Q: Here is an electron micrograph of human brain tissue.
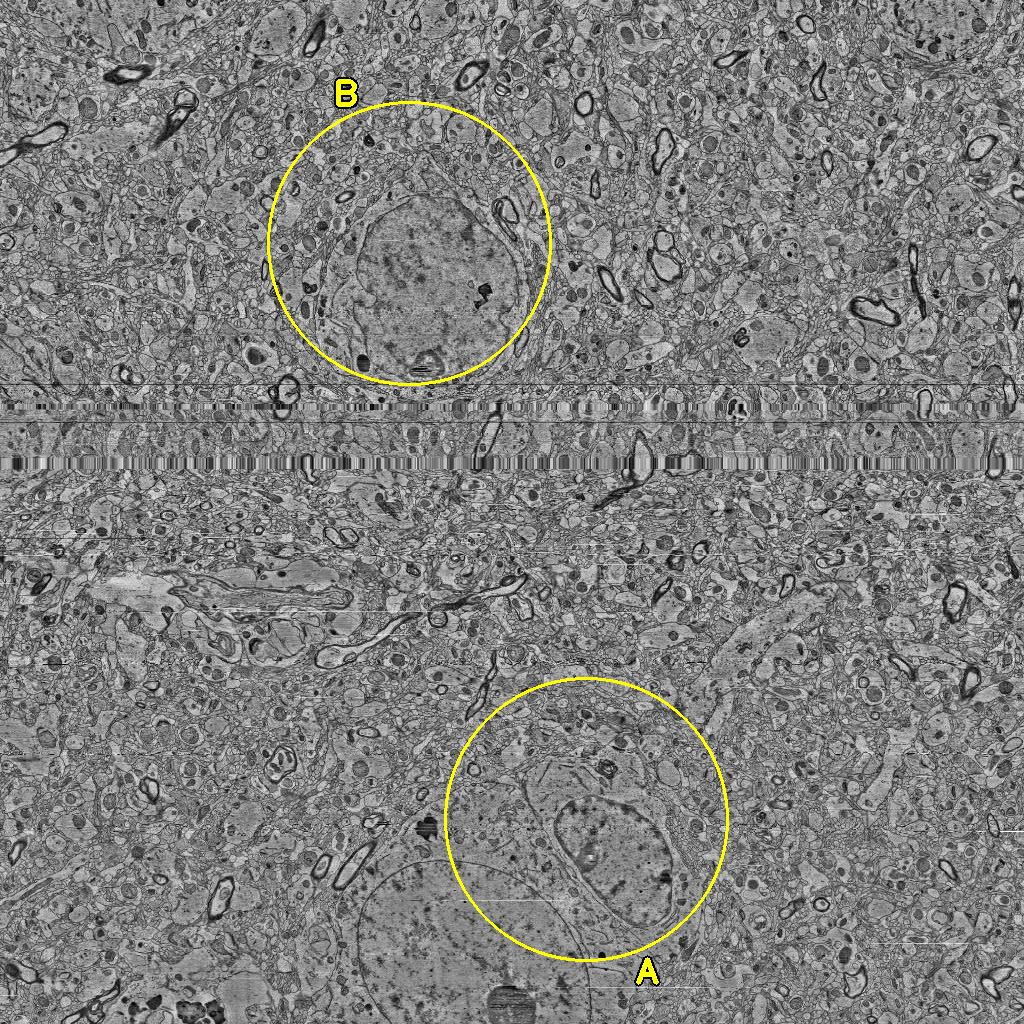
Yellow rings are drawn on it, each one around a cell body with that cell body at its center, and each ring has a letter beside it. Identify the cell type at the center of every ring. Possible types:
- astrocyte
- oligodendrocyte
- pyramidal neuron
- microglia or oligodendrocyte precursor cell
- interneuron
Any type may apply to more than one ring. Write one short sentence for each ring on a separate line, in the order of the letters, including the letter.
Centered in ring A is a microglial cell or oligodendrocyte precursor cell.
Centered in ring B is an interneuron.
